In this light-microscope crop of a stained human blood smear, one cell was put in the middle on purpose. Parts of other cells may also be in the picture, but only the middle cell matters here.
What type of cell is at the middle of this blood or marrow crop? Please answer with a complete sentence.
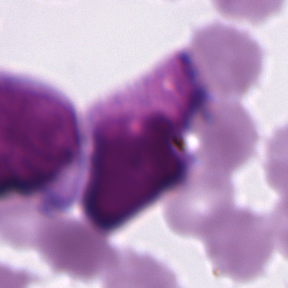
The cell shown in the center of this light-microscope crop is a myeloblast.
